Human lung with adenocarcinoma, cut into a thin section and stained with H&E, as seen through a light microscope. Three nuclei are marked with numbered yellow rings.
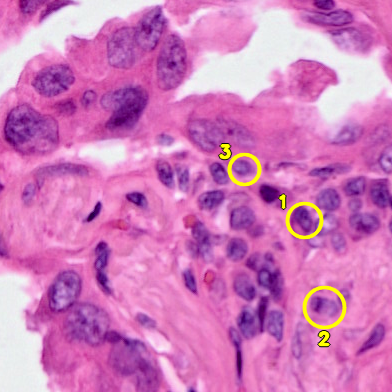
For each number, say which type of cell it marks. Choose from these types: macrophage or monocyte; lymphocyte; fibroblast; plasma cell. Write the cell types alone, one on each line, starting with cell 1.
plasma cell
plasma cell
lymphocyte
